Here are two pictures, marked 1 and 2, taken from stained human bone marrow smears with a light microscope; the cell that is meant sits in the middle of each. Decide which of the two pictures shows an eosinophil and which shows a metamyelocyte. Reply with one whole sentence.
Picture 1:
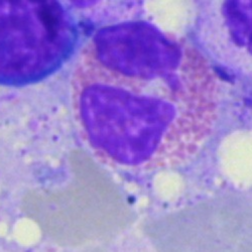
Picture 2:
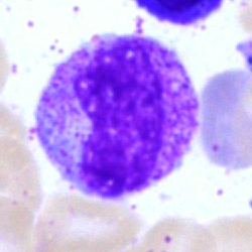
Picture 2 shows a metamyelocyte, while picture 1 shows an eosinophil.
